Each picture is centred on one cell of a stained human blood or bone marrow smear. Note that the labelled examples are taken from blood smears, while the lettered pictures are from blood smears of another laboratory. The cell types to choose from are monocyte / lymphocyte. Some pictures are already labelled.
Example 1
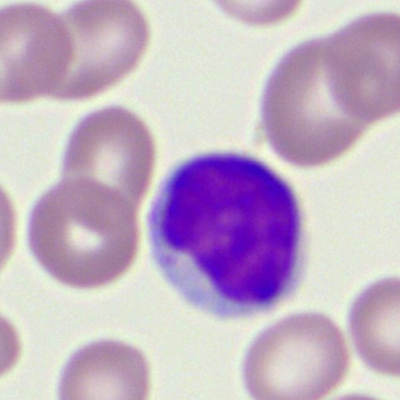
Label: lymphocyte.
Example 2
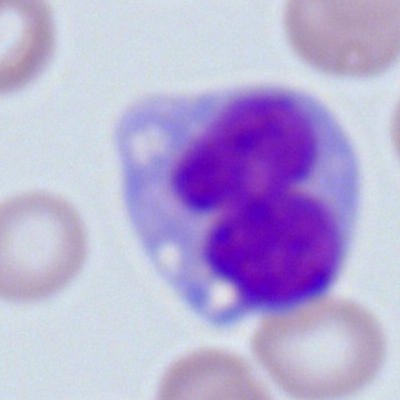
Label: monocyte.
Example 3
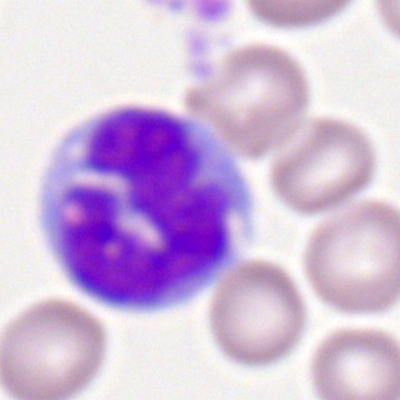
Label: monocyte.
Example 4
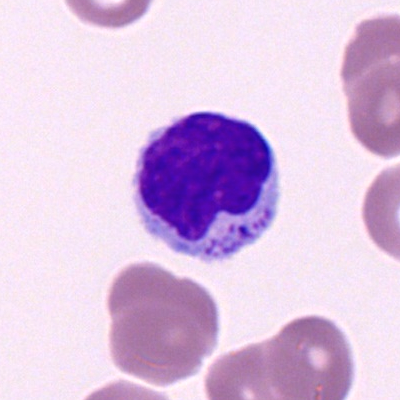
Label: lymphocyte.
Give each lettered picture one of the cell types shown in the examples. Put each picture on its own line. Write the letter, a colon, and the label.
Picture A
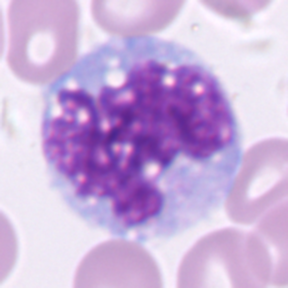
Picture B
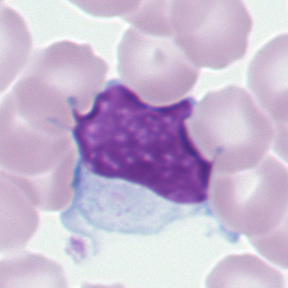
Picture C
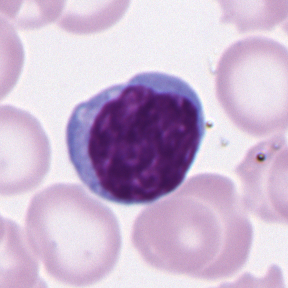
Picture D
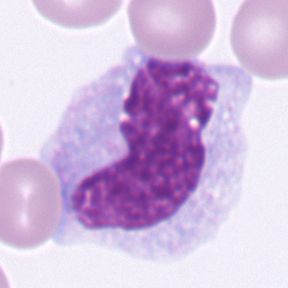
A: monocyte.
B: lymphocyte.
C: lymphocyte.
D: monocyte.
